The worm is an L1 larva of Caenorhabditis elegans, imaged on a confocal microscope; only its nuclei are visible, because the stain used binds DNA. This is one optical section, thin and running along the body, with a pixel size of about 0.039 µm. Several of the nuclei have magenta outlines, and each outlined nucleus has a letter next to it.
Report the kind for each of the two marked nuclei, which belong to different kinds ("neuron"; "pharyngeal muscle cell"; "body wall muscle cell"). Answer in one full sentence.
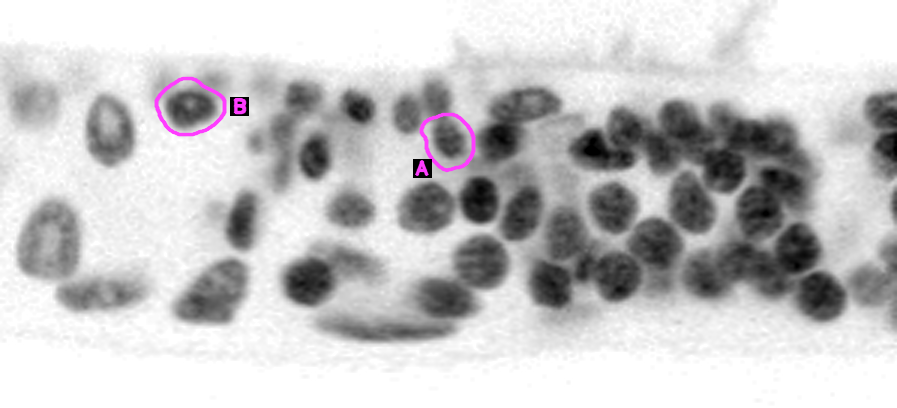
A belongs to a neuron and B to a body wall muscle cell.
